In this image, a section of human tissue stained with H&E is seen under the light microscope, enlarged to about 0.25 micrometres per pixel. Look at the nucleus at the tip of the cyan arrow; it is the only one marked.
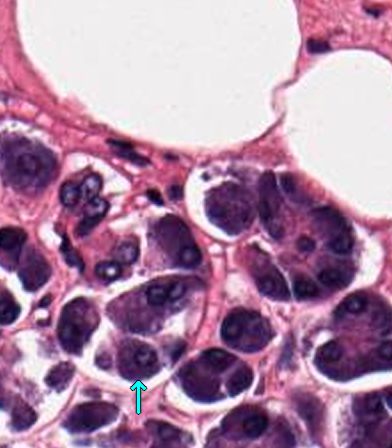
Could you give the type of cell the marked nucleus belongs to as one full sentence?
The cell that the marked nucleus belongs to is a pancreatic acinar cell.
